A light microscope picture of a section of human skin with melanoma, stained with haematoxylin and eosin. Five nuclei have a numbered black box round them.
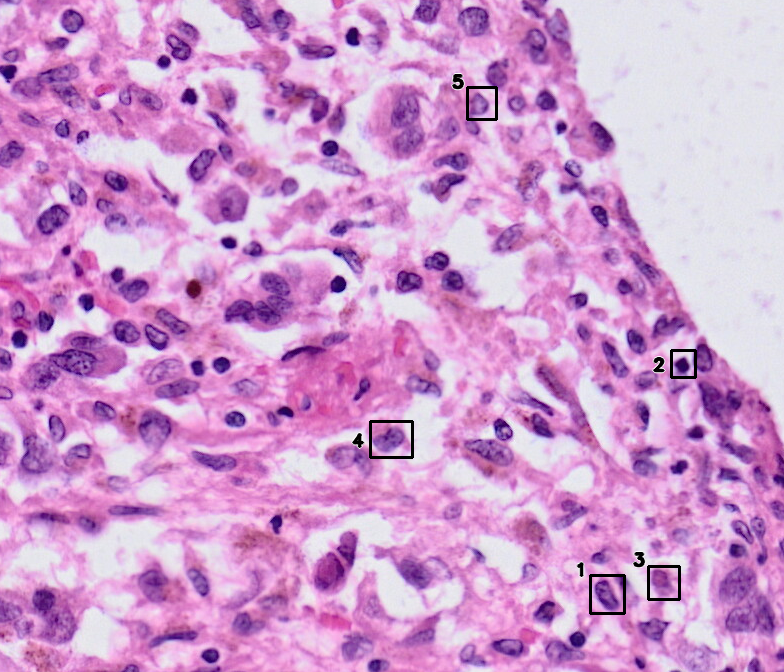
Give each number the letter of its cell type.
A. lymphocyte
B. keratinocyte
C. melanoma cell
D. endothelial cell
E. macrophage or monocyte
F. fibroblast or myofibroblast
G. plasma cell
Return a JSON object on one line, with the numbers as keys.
{"1": "E", "2": "A", "3": "C", "4": "E", "5": "E"}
